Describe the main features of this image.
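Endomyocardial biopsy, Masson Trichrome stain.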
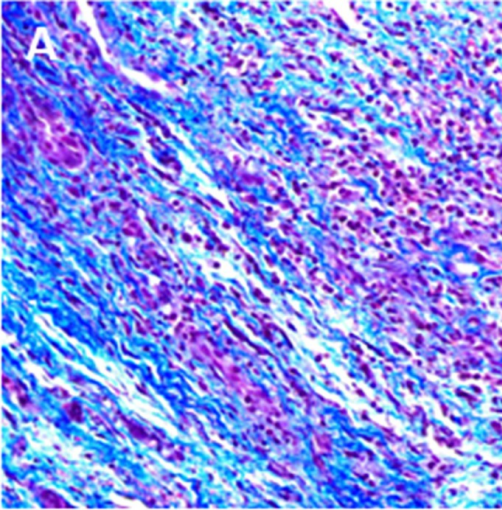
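This section of heart tissue shows cells with purple to magenta cytoplasm and dark nuclei arranged in streaming, roughly parallel bands running diagonally across the field. Between and around these cells run wavy strands of blue-stained fibrous material, thickest in broad bands toward the lower left. The blue fibres separate the cells into narrow strips and fill much of the space between them. Many nuclei are small and dark, suggesting additional cells crowded among the fibres.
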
